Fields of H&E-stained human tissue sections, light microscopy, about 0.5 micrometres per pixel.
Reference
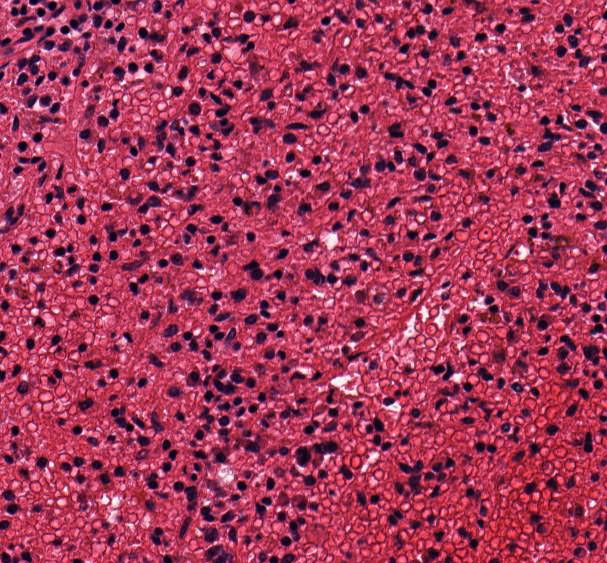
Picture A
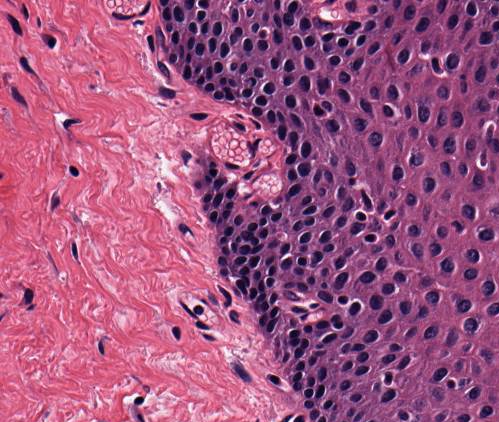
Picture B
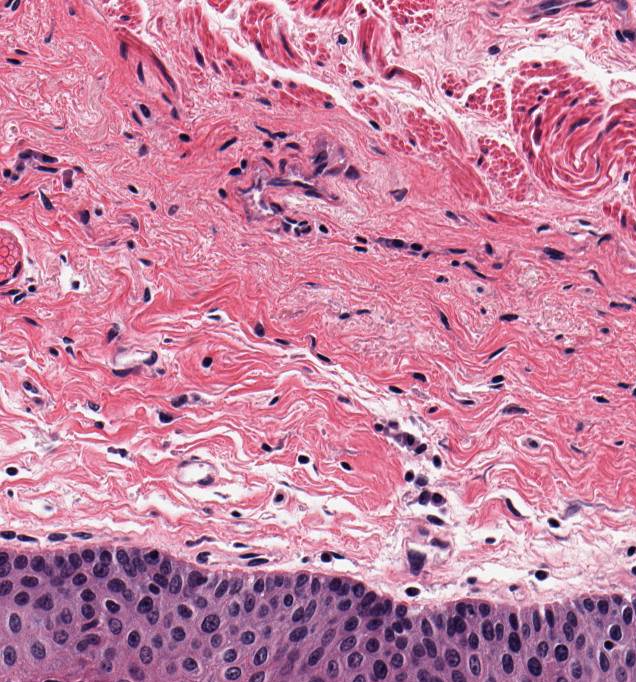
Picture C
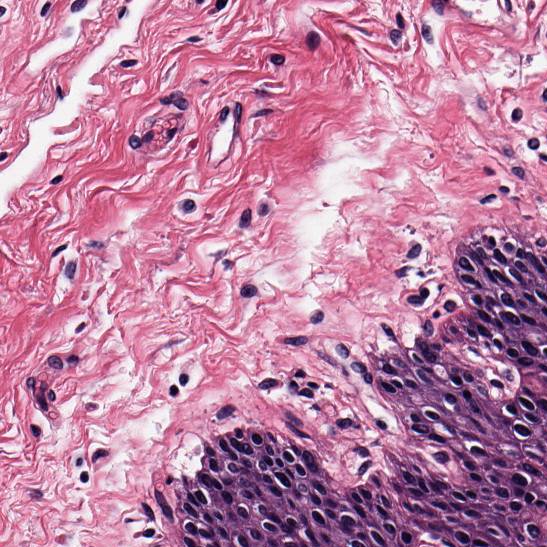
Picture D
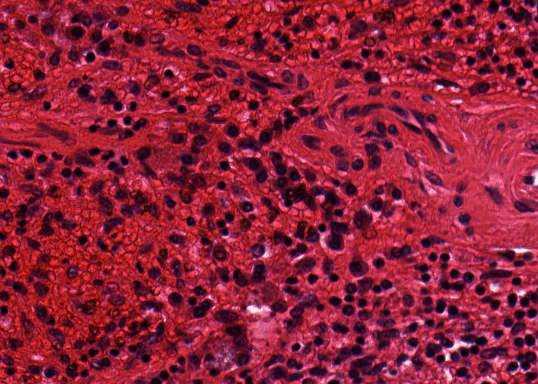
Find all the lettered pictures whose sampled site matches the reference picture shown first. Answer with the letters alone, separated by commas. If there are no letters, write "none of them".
D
